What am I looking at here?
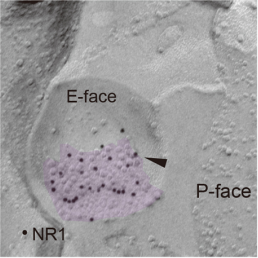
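This replica shows a fractured dendritic spine membrane at high magnification, with a large smooth concave membrane face and an adjoining particle-rich face. On the smooth face lies a sharply bounded patch, shaded purple, crowded with small intra-membrane particles.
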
